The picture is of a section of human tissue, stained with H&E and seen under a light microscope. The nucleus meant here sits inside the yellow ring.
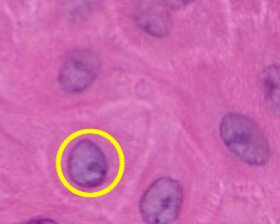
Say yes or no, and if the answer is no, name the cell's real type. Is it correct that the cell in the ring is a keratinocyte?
Yes.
